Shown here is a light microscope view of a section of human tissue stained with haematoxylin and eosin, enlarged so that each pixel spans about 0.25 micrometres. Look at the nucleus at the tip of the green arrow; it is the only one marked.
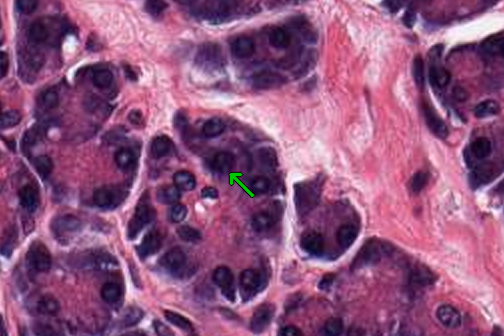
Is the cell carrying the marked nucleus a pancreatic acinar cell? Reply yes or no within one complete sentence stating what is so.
Yes, the marked nucleus belongs to a pancreatic acinar cell in this field.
